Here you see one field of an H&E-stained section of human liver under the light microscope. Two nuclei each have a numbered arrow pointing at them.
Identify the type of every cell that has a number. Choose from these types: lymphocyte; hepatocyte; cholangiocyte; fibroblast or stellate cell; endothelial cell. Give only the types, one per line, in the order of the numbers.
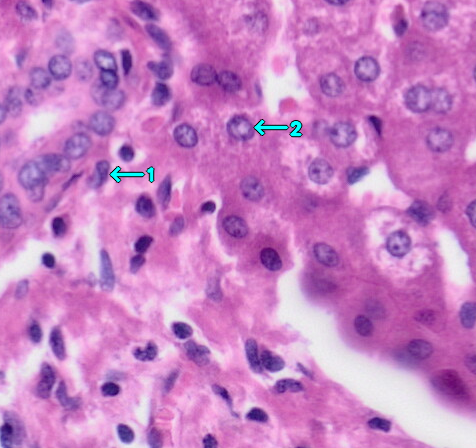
fibroblast or stellate cell
hepatocyte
